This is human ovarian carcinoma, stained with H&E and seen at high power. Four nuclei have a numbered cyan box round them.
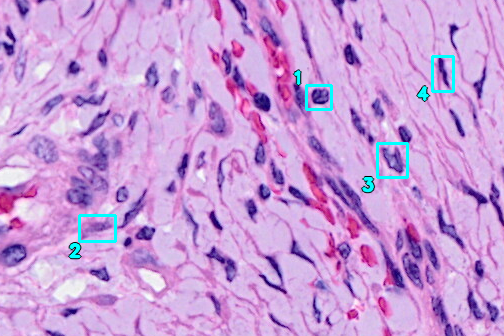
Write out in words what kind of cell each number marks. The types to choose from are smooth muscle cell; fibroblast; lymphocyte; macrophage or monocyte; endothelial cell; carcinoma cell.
Cell 1 is a lymphocyte. Cells 2, 3 and 4 are fibroblasts.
